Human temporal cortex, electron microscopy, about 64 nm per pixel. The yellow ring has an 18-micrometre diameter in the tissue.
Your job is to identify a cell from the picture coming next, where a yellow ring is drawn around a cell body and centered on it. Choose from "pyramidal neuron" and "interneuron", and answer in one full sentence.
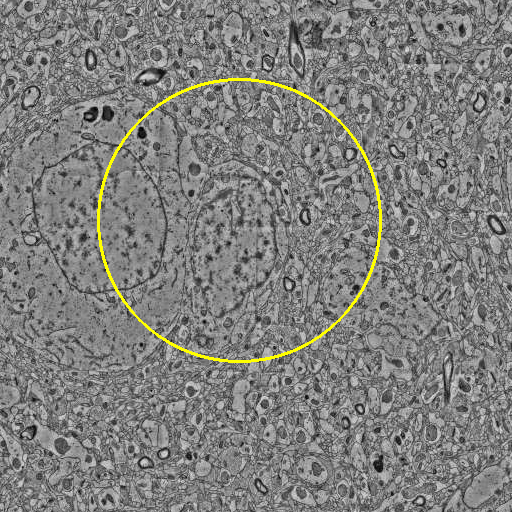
Centered in the yellow ring of the picture is the body of an interneuron.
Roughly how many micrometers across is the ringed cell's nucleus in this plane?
Approximately 9 micrometres long and 6 micrometres wide, in this plane.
